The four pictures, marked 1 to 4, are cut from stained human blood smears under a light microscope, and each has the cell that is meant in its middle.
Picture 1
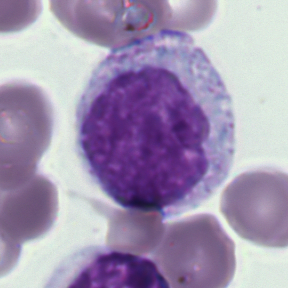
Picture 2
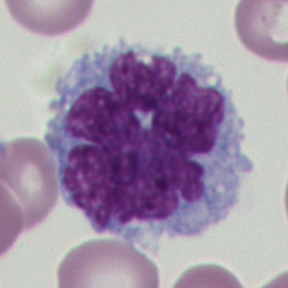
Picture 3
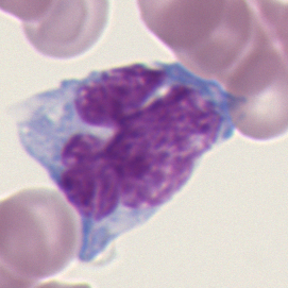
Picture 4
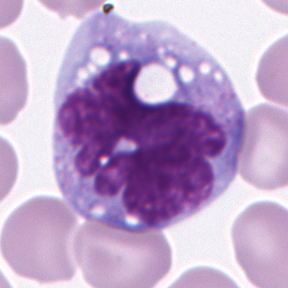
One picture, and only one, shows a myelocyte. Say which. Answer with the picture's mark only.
1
